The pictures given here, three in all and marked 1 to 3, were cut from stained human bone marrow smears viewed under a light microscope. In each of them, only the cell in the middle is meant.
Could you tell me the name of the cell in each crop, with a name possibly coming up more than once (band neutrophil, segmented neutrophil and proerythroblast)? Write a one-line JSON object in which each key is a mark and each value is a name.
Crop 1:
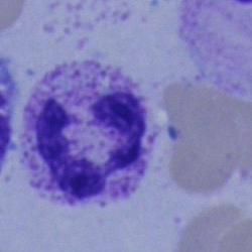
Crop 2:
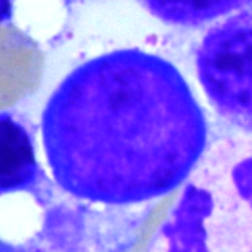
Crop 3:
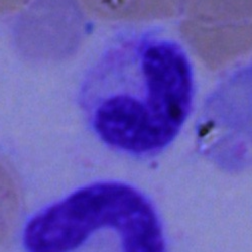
{"1": "segmented neutrophil", "2": "proerythroblast", "3": "band neutrophil"}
